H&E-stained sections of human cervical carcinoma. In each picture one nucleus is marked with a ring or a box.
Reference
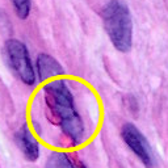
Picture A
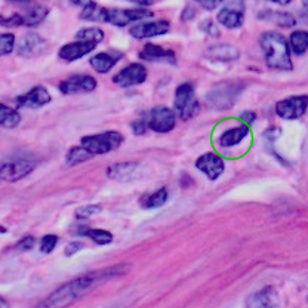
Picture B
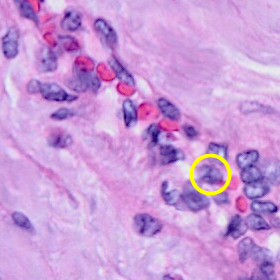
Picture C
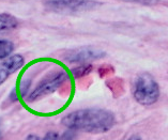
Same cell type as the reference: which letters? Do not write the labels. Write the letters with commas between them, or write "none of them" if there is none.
B, C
